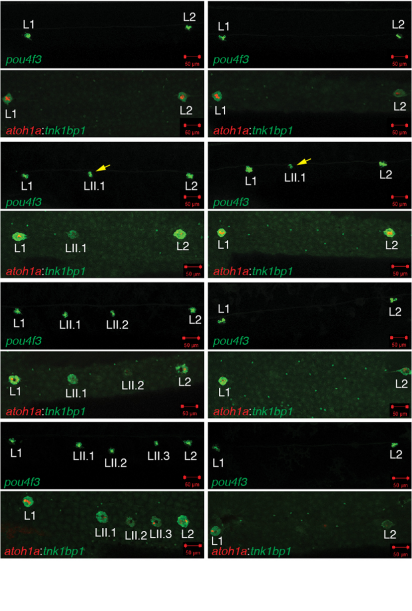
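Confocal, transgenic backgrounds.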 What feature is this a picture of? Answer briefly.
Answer: lateral line rosettes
